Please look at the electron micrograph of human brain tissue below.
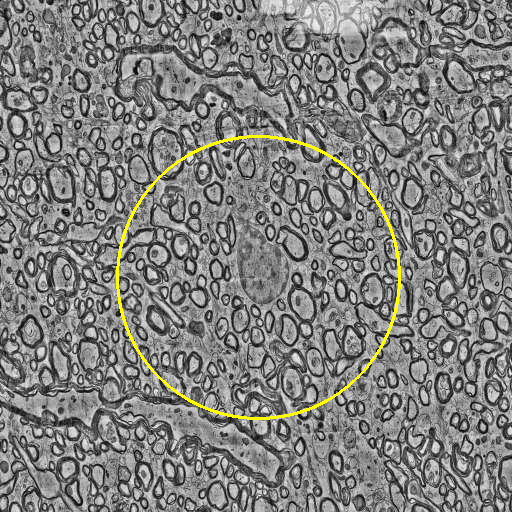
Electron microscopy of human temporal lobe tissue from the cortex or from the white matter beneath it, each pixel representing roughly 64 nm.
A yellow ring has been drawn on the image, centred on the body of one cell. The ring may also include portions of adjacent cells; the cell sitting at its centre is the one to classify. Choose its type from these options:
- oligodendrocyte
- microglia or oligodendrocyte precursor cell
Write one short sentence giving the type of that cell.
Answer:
The cell in the middle of the ring is a microglial cell or oligodendrocyte precursor cell.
